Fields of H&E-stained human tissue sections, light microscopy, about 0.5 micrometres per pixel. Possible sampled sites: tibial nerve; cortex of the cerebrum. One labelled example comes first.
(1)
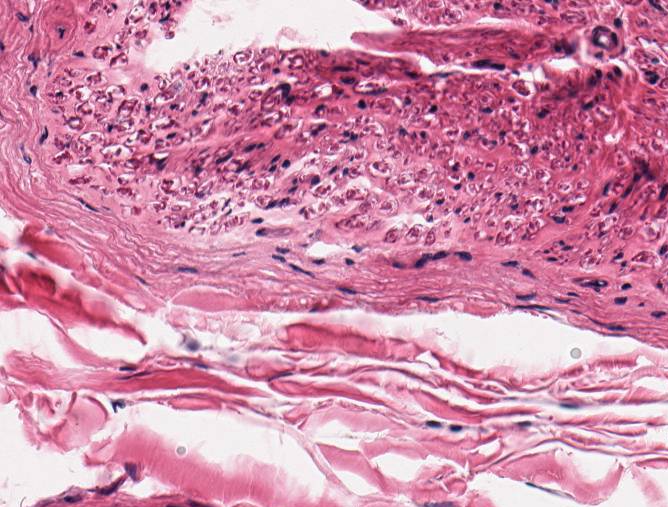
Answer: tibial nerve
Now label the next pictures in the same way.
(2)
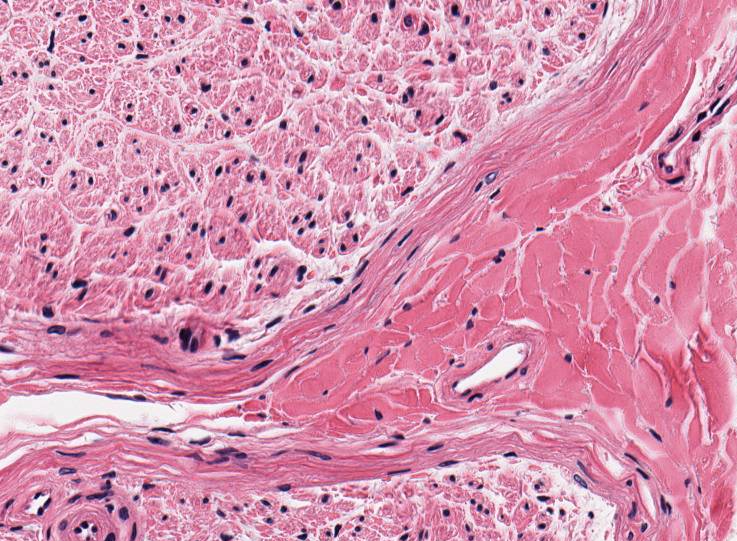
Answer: tibial nerve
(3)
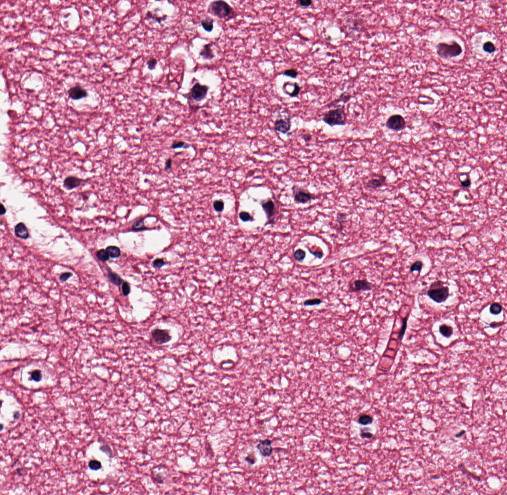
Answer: cortex of the cerebrum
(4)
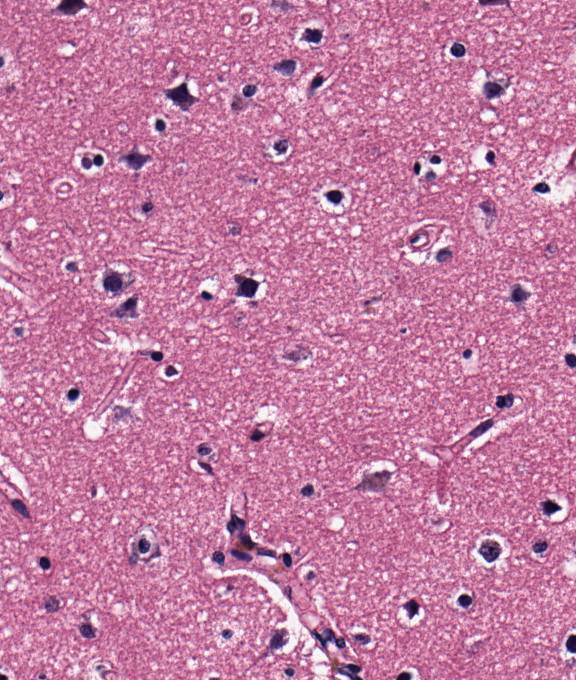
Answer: cortex of the cerebrum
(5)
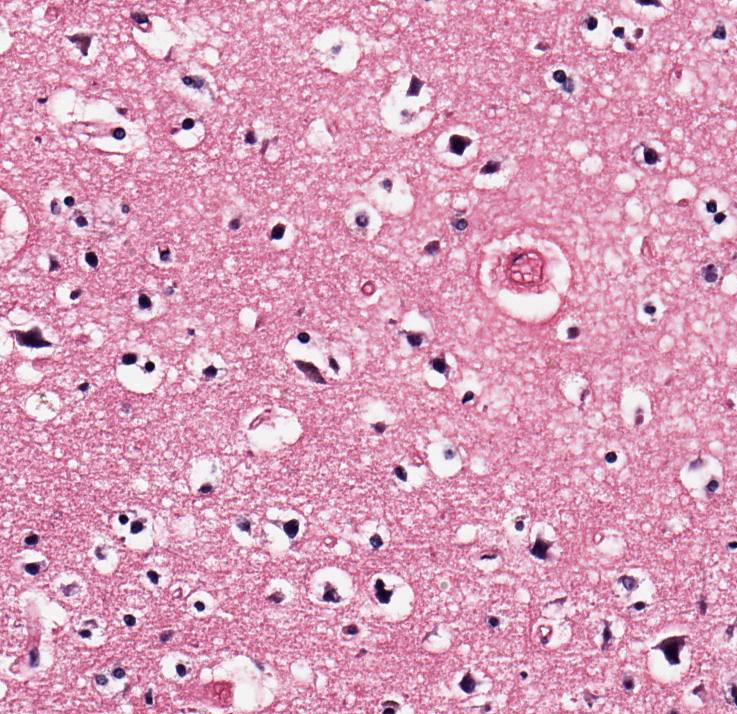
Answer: cortex of the cerebrum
